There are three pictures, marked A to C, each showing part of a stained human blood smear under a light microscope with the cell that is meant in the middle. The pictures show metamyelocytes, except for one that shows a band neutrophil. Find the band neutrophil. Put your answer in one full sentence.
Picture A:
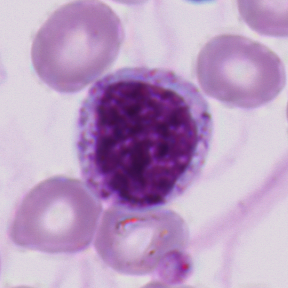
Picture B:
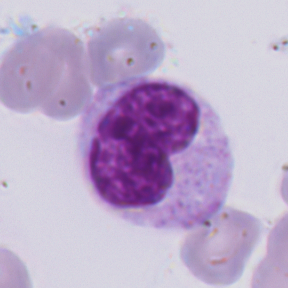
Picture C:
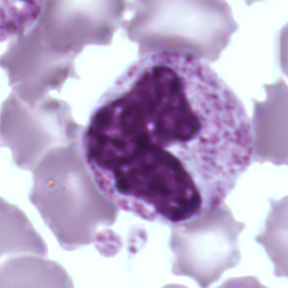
The cell in picture C is the band neutrophil.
